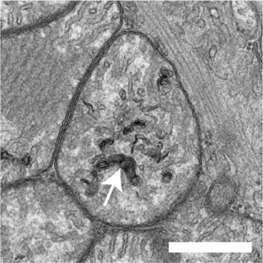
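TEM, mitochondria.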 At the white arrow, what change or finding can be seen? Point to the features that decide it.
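Crumpled cristae. Dark, irregularly folded, short membrane fragments clustered in the mitochondrion. They lack the regular parallel arrangement.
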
